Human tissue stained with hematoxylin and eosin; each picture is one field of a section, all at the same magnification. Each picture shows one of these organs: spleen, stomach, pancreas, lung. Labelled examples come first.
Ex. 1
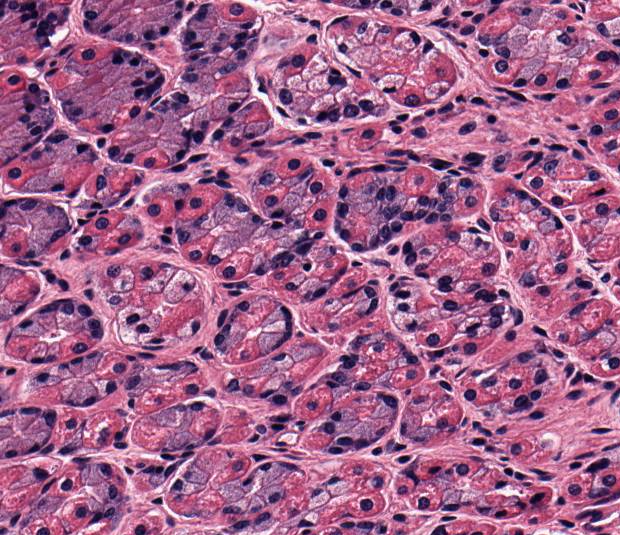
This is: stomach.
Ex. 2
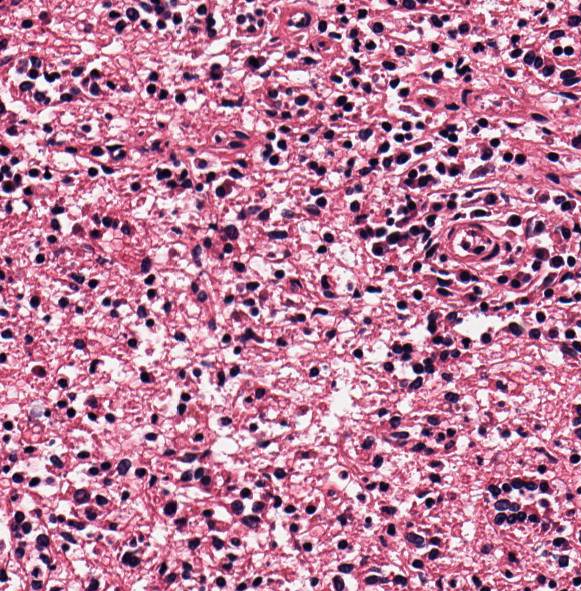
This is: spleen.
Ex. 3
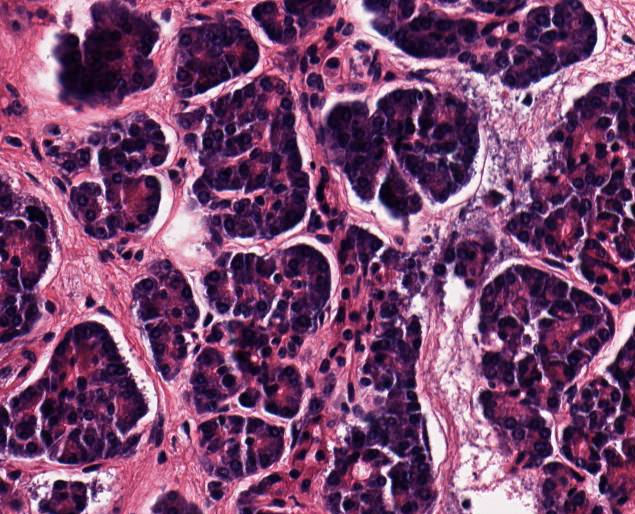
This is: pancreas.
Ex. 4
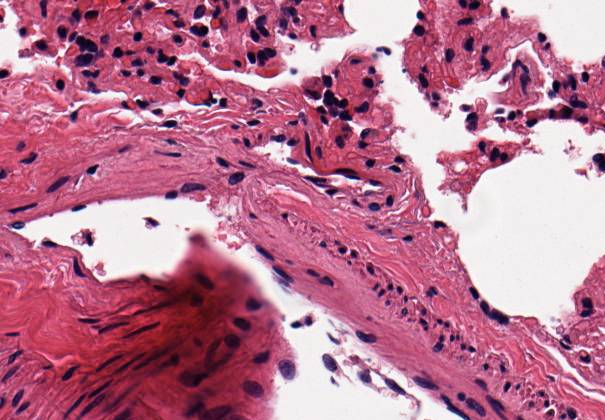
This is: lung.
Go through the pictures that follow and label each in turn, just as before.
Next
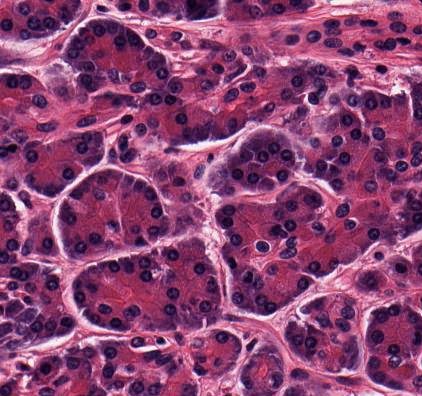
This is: pancreas.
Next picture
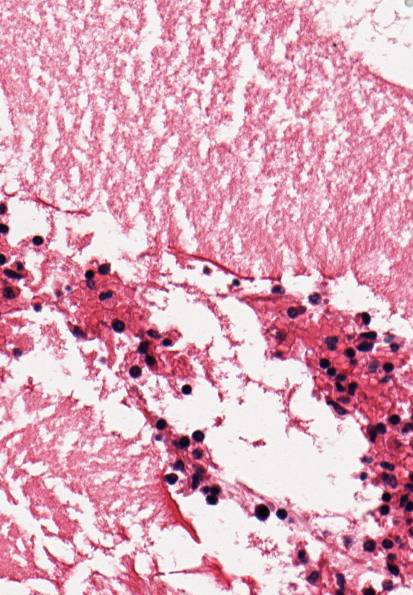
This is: spleen.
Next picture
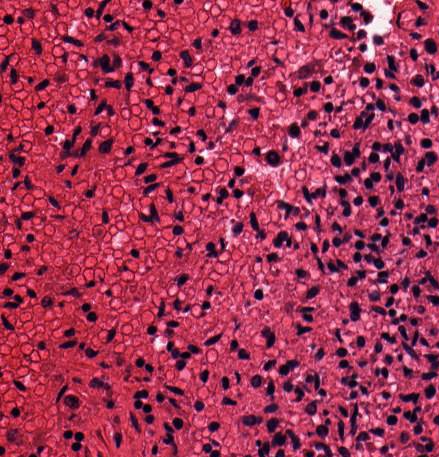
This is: spleen.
